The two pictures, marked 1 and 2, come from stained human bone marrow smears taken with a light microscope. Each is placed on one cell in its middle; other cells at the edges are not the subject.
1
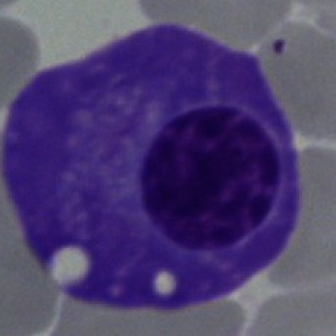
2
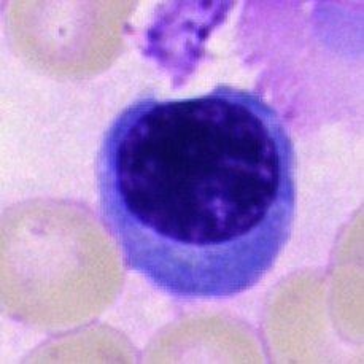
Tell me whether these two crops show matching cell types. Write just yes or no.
no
